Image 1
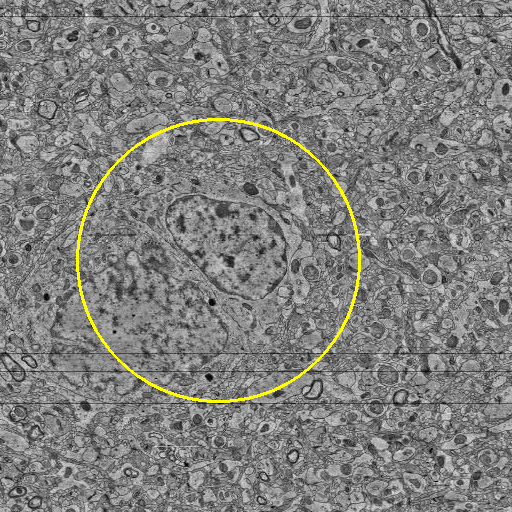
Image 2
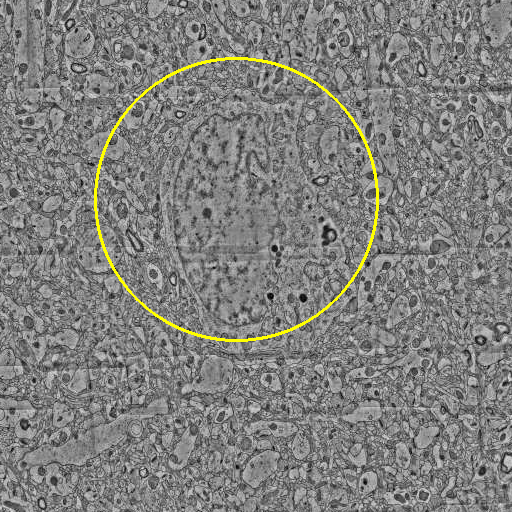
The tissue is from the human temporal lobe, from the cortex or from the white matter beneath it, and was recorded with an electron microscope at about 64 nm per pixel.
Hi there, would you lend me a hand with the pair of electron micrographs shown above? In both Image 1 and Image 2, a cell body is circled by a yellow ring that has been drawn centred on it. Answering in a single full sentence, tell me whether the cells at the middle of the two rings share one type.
No, the ringed cells in Image 1 and Image 2 belong to two types.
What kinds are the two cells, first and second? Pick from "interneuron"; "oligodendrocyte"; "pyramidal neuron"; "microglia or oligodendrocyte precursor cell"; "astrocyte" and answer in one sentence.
The second picture holds an interneuron in its ring, and the first holds a microglial cell or oligodendrocyte precursor cell.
